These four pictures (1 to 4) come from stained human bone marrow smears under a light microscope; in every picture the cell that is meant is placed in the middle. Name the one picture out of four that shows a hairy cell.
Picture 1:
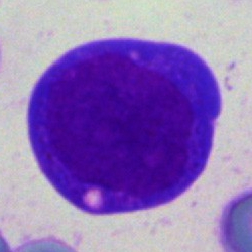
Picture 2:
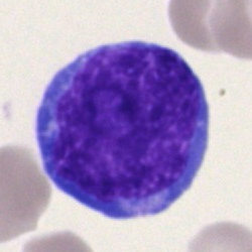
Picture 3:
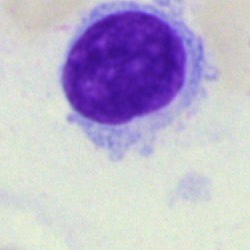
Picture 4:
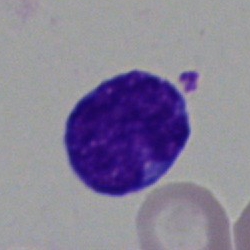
3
